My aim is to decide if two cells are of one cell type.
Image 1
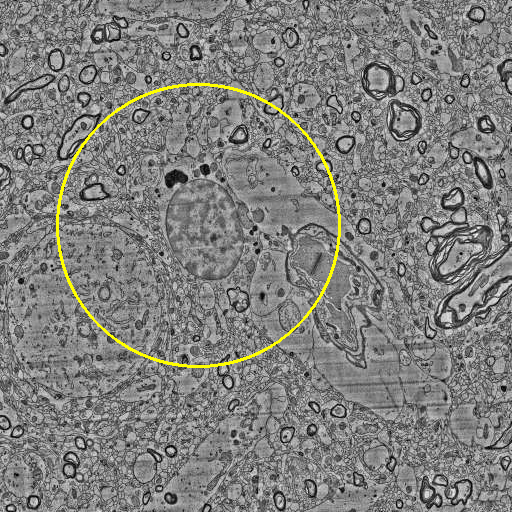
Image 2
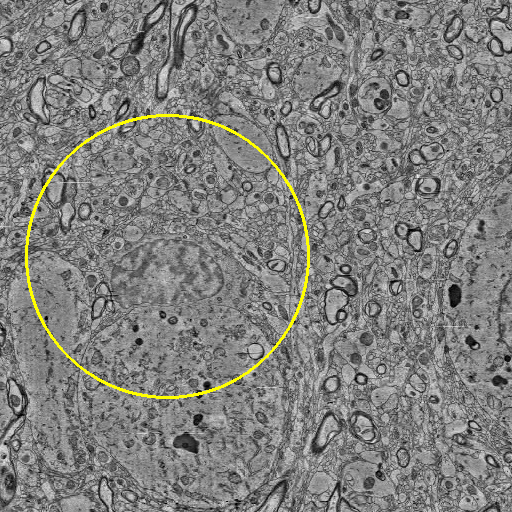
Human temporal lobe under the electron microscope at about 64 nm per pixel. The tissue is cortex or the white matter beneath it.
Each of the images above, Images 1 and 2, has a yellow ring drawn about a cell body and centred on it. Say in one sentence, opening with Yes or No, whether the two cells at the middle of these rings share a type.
Yes, in Images 1 and 2 the cells at the middle of the rings share one type.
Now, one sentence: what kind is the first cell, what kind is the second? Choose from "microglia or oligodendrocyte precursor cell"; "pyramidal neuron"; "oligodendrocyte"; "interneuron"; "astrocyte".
Both cells are the same kind, each one being an oligodendrocyte.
